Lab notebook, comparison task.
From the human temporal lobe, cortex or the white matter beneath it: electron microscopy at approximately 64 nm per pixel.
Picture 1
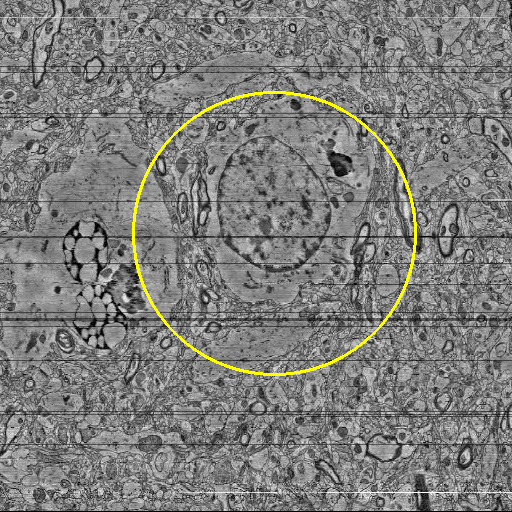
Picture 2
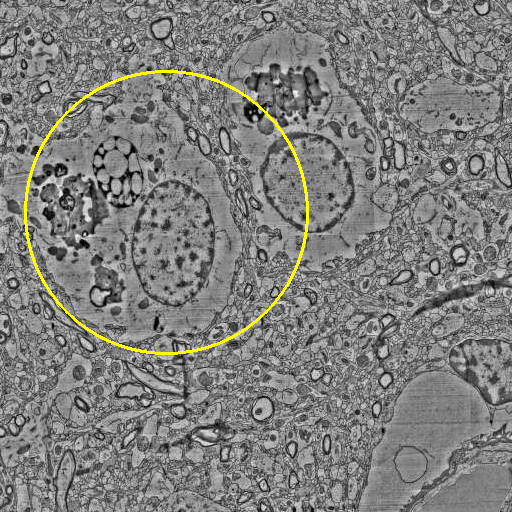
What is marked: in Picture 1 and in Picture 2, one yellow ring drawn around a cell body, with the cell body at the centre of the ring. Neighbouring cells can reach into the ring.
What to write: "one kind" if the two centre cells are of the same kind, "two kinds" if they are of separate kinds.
one kind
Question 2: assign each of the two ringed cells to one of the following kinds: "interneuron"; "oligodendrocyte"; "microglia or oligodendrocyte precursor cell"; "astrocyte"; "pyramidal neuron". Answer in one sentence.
Each of the two cells is an astrocyte.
